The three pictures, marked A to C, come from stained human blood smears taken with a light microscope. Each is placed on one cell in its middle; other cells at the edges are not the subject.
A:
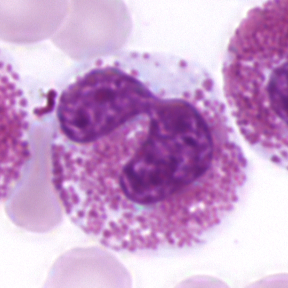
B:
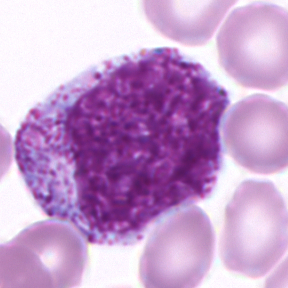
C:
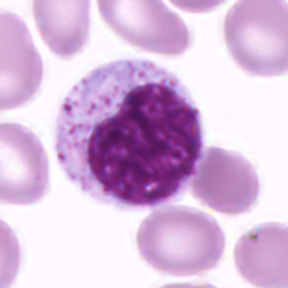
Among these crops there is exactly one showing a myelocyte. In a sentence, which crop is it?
In this series, a myelocyte is shown by crop B.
